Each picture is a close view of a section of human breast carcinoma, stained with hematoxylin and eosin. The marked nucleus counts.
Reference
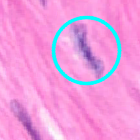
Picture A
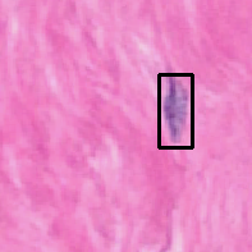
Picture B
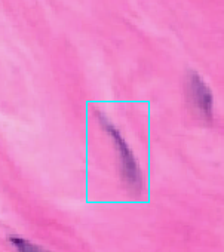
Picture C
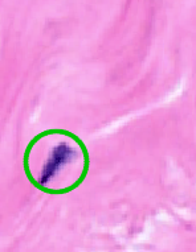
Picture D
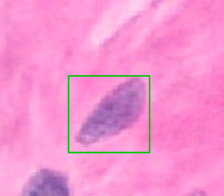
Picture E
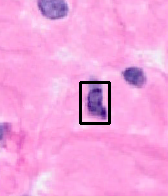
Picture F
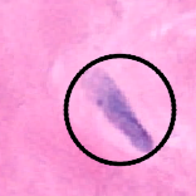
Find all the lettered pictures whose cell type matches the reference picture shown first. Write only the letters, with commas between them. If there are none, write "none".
A, B, C, D, F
